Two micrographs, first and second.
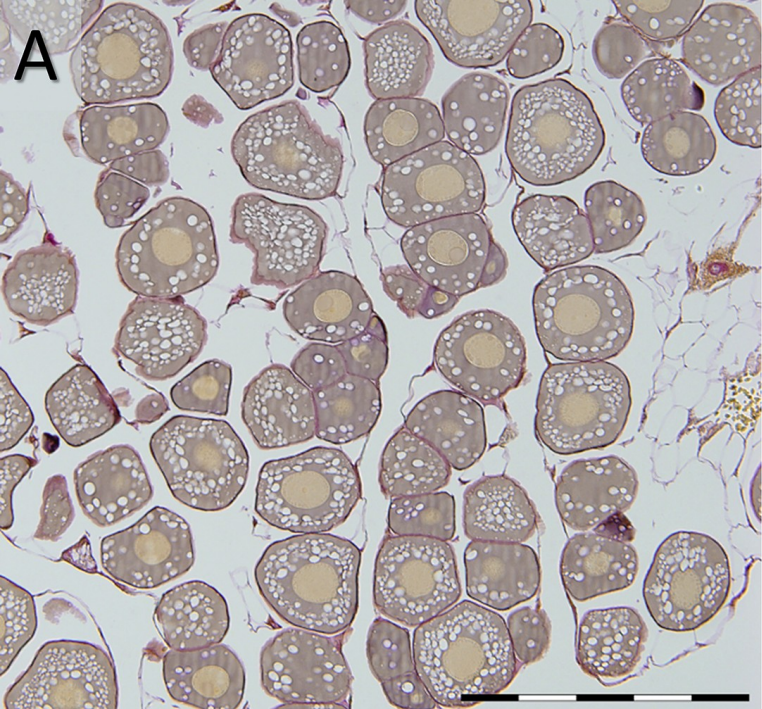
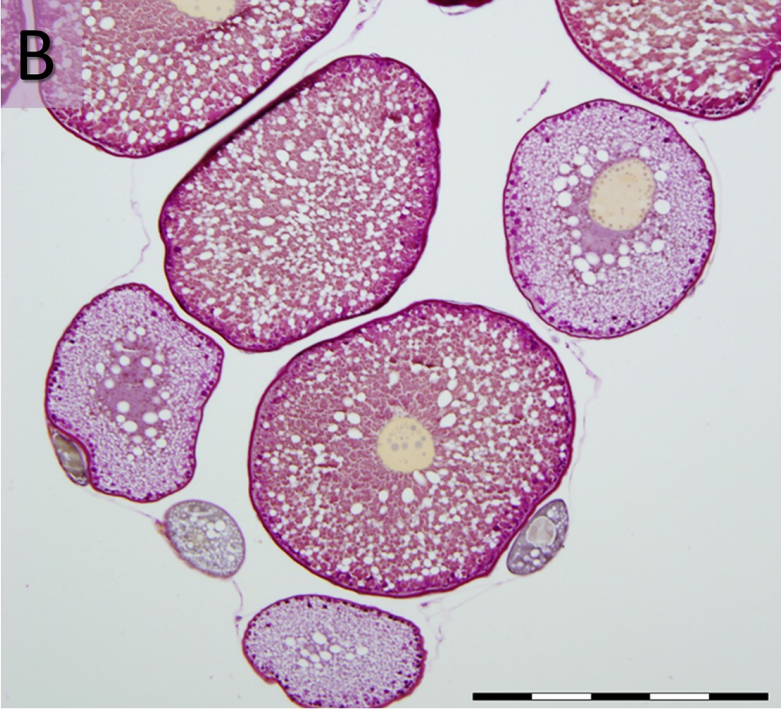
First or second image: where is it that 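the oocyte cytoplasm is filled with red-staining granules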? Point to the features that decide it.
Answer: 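Second image: large cells with cytoplasm densely filled with red-purple granules. First image: cells with grey cytoplasm holding only clear vacuoles, no red granules. So: the second image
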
